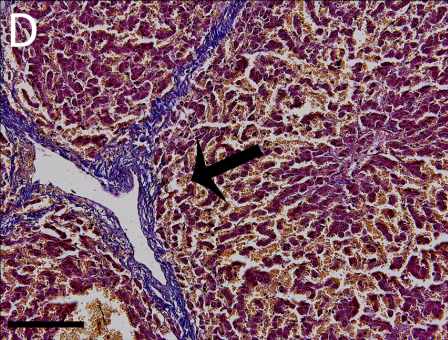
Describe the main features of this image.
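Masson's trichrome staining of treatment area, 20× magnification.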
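Blue-stained connective tissue septa run across the field and surround an empty vessel at the left. The lobules beside the septa have a mottled look, with the orange material threaded between the cell plates throughout. The hepatocytes themselves look irregular and clumped rather than forming neat radiating cords.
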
